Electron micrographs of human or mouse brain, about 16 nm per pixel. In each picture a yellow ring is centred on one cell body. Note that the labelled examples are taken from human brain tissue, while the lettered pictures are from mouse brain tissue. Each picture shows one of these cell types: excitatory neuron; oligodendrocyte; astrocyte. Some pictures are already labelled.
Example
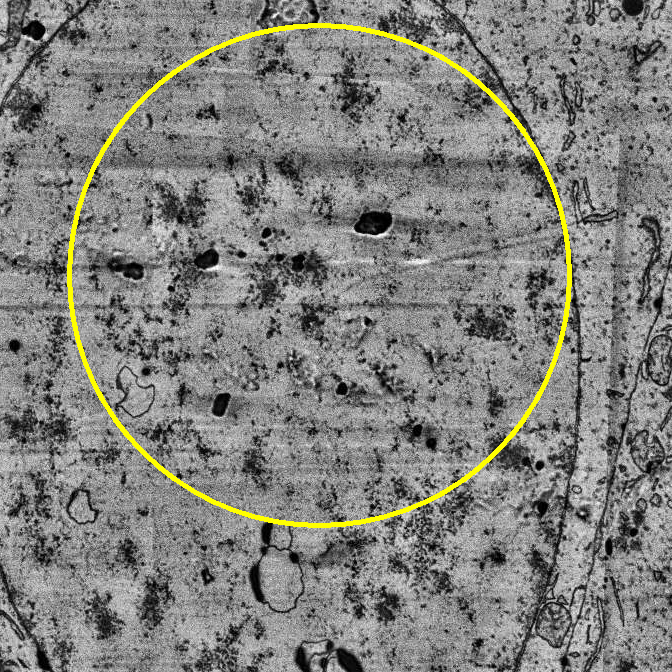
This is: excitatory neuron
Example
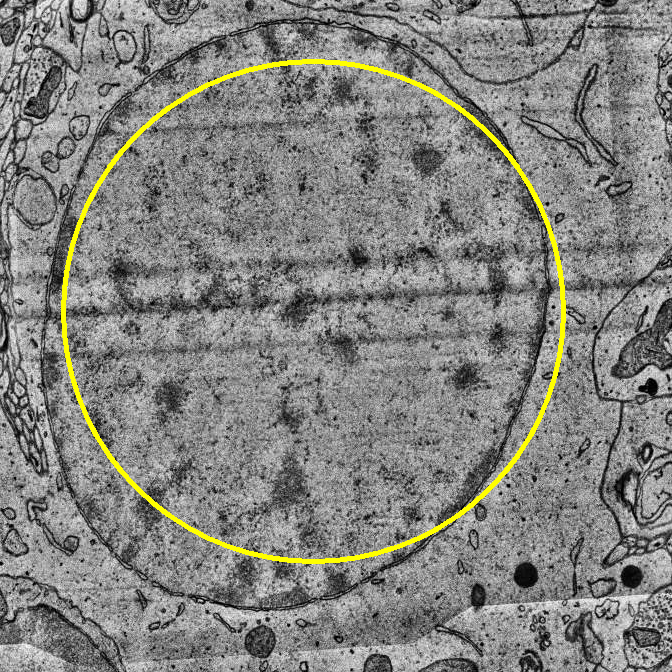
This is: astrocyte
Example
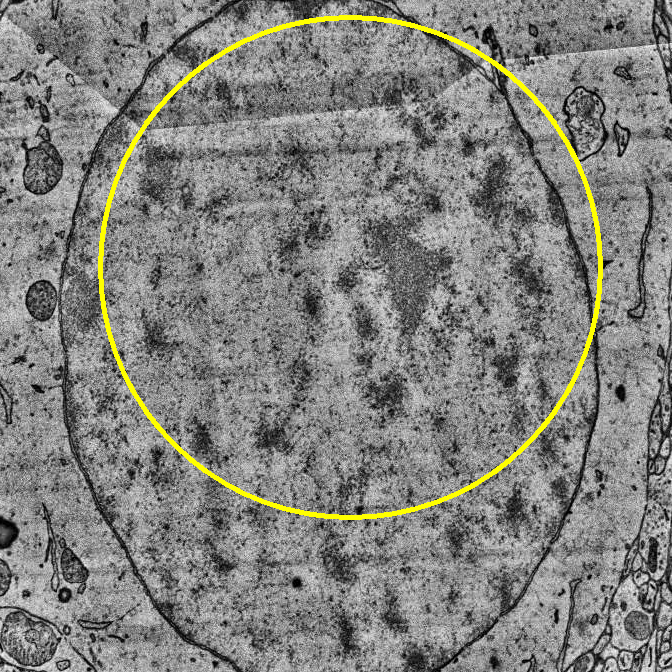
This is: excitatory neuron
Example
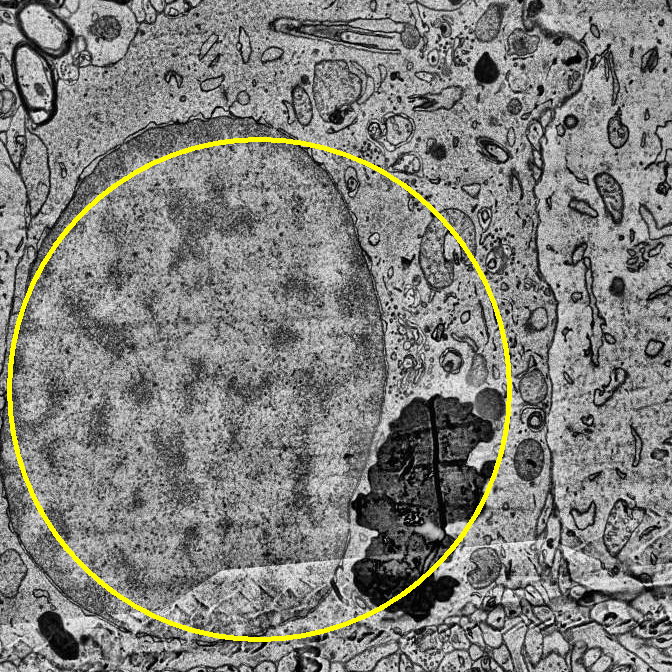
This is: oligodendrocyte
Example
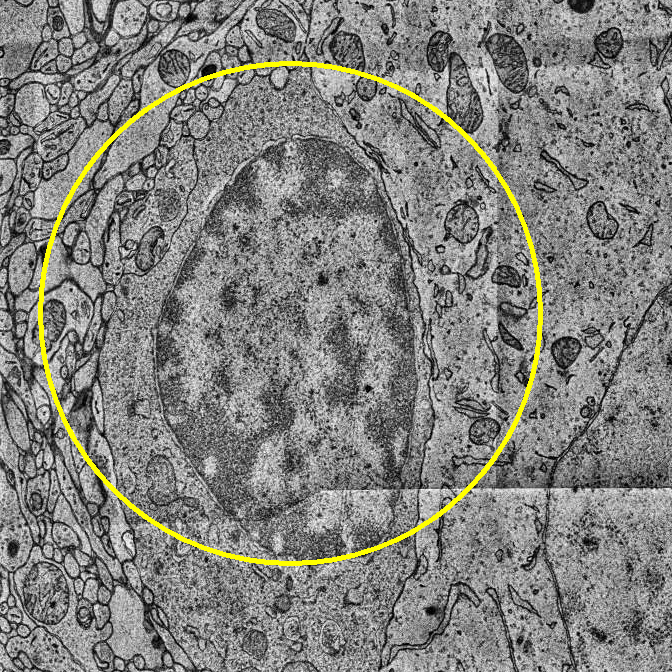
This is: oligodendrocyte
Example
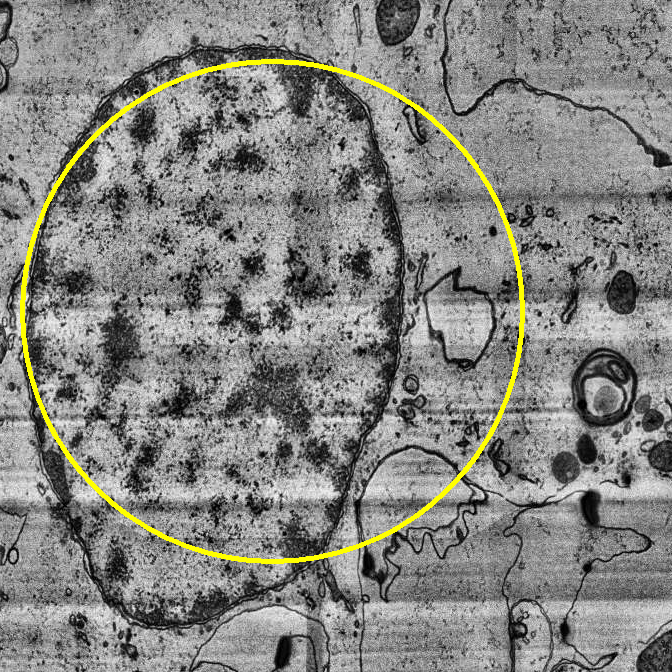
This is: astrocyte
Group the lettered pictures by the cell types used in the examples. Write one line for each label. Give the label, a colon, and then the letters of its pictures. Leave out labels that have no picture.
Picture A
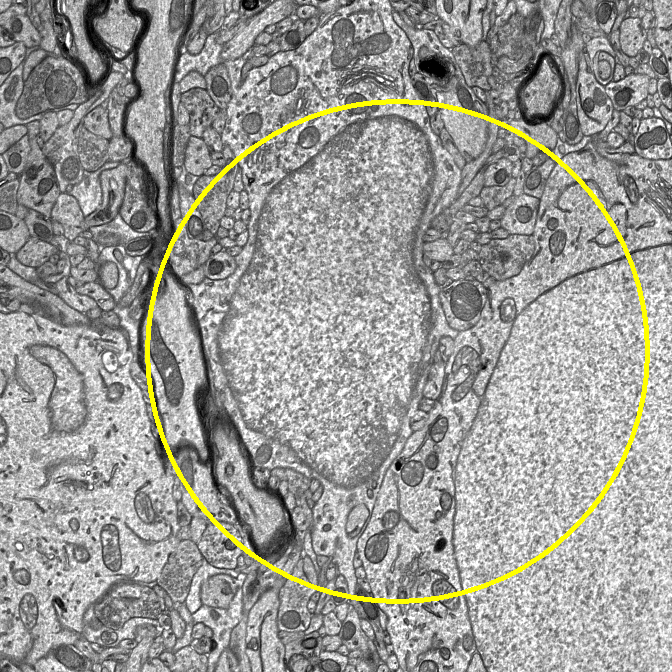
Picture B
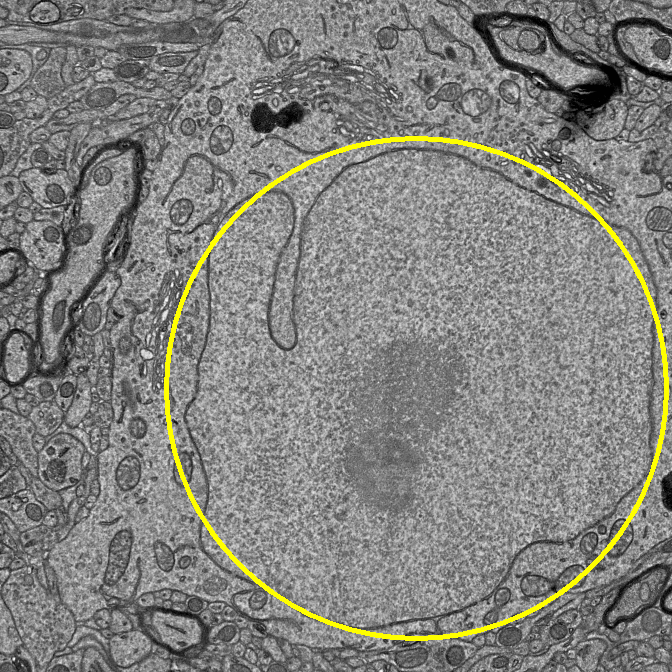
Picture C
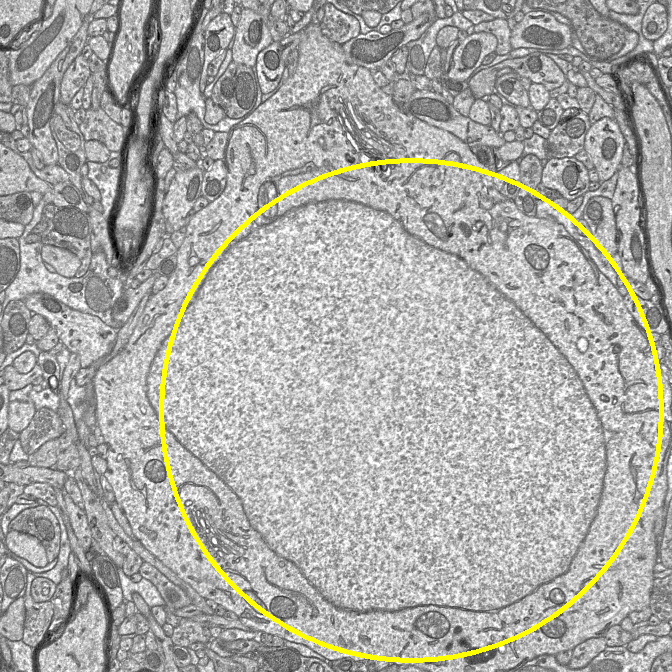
excitatory neuron: B, C
astrocyte: A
